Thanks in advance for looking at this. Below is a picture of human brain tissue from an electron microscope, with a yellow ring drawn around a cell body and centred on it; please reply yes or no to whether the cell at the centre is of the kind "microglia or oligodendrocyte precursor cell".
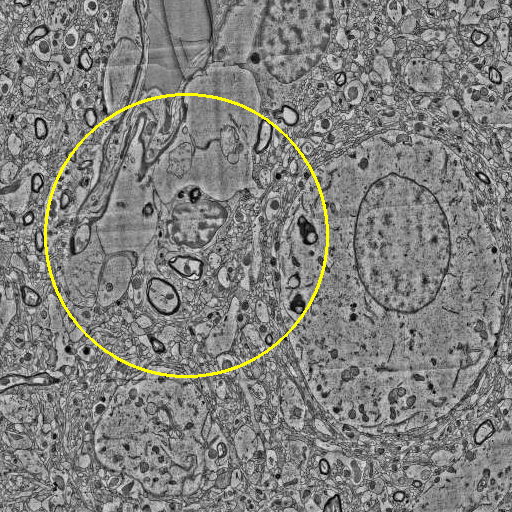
yes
